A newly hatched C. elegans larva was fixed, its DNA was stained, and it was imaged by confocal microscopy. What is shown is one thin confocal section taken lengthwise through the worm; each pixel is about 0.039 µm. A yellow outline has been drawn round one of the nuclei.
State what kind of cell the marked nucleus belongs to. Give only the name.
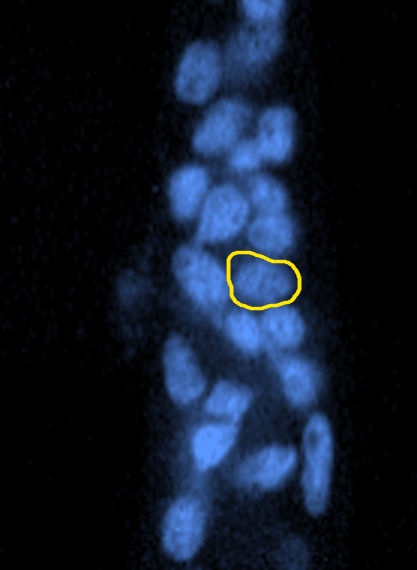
neuron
